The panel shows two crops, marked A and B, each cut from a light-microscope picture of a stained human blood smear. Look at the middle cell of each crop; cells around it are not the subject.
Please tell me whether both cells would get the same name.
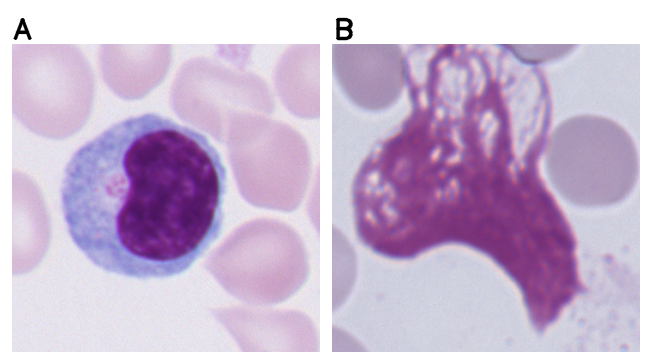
no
